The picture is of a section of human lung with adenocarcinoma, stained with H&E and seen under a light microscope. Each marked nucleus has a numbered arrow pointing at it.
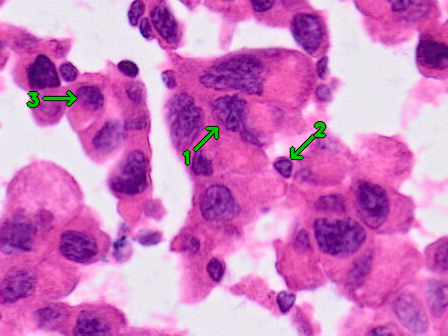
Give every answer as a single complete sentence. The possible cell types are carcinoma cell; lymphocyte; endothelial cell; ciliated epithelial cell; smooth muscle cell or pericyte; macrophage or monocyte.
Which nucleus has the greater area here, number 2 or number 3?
Nucleus 3 covers more area, about 2.5 times as much as nucleus 2.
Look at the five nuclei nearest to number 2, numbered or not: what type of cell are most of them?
Carcinoma cells account for more than half of the five nuclei nearest to number 2.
